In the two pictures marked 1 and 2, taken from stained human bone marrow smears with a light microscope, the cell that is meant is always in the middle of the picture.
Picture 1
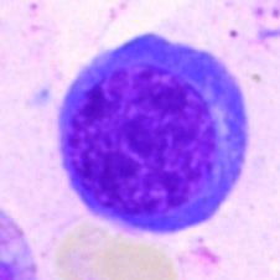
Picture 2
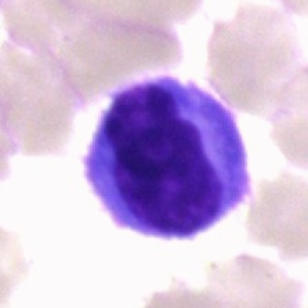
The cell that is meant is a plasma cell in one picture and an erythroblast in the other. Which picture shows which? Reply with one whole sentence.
In picture 1 the cell is an erythroblast; in picture 2, a plasma cell.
